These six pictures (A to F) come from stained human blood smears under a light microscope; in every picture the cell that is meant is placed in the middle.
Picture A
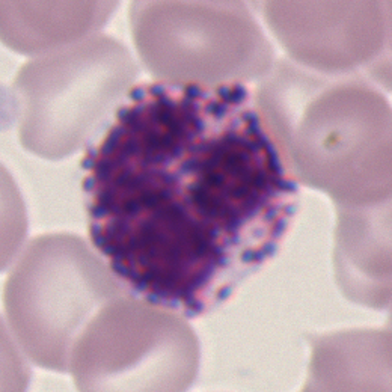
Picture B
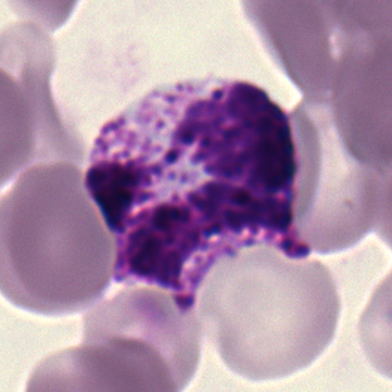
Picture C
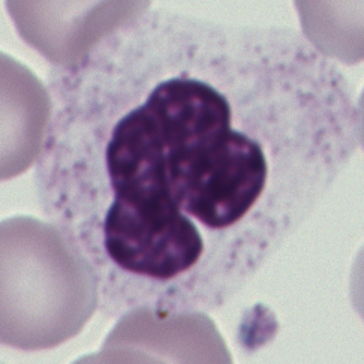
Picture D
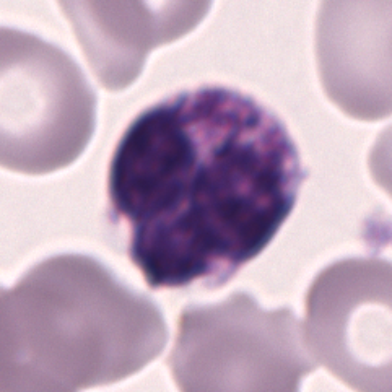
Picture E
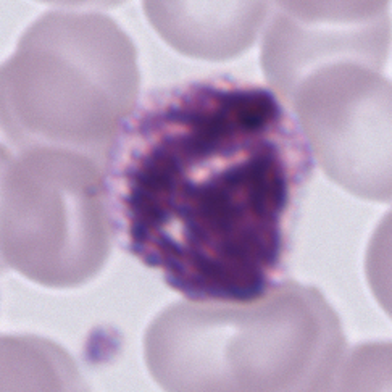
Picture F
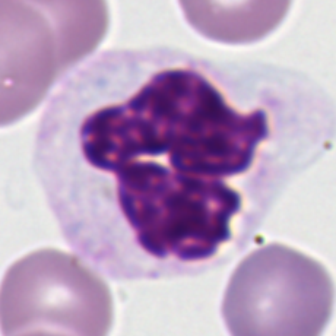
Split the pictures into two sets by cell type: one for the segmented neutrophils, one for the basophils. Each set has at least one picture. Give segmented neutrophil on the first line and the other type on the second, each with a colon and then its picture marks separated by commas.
segmented neutrophil: C, F
basophil: A, B, D, E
